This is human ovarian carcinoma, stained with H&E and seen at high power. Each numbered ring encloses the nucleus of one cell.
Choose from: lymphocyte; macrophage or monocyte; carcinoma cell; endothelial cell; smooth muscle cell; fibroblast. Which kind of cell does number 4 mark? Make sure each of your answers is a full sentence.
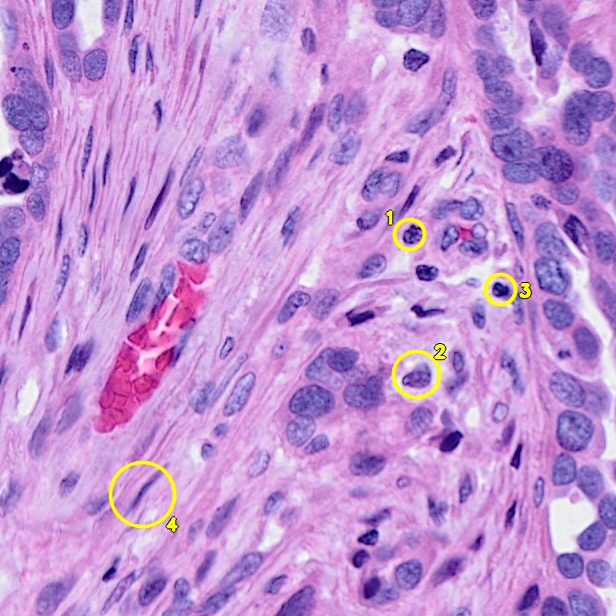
The cell that goes by number 4 is a fibroblast.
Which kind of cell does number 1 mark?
The nucleus labelled 1 belongs to a lymphocyte.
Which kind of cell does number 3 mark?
The cell carrying label 3 is identified as a lymphocyte.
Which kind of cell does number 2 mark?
Regarding cell 2, this one is a macrophage or monocyte.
